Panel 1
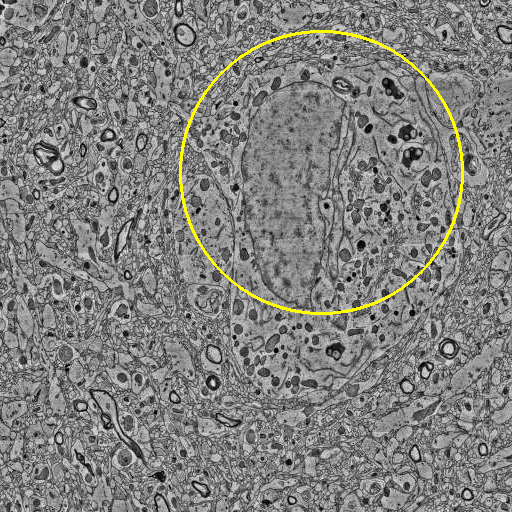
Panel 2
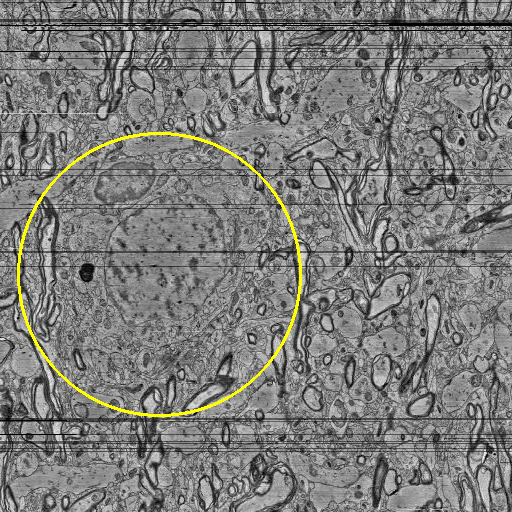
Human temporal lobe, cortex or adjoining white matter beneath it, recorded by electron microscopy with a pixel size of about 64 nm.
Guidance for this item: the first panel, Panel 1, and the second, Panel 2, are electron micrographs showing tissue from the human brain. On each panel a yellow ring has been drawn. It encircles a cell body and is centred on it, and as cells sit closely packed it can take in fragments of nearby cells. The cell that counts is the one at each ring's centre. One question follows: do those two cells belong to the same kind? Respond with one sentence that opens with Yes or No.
Yes, the cells at the ring centres in Panel 1 and Panel 2 are of one kind.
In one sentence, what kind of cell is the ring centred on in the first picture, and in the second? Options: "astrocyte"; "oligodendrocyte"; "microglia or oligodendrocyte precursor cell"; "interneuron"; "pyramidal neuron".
Both cells are the same kind, each one being an interneuron.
